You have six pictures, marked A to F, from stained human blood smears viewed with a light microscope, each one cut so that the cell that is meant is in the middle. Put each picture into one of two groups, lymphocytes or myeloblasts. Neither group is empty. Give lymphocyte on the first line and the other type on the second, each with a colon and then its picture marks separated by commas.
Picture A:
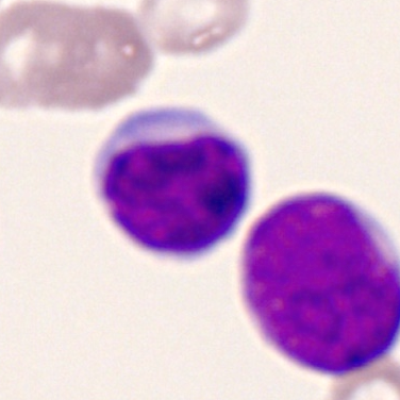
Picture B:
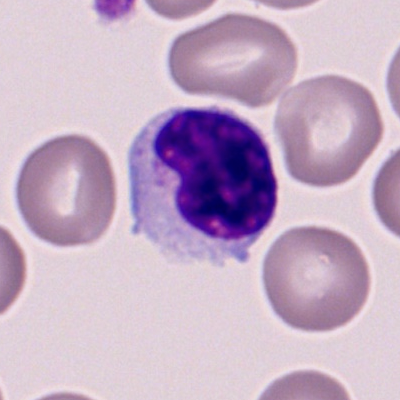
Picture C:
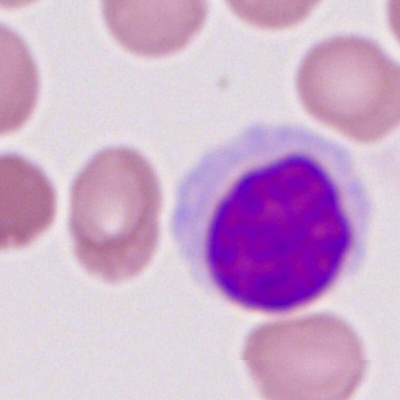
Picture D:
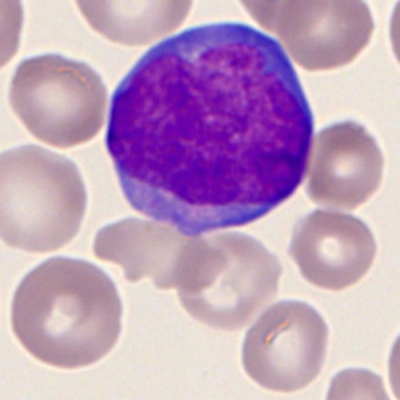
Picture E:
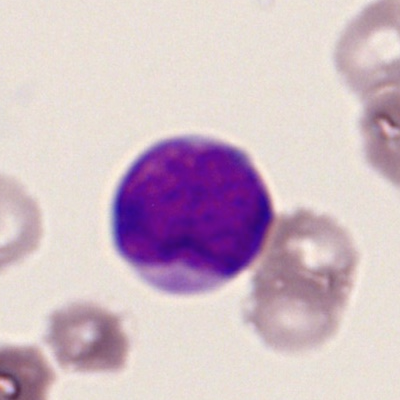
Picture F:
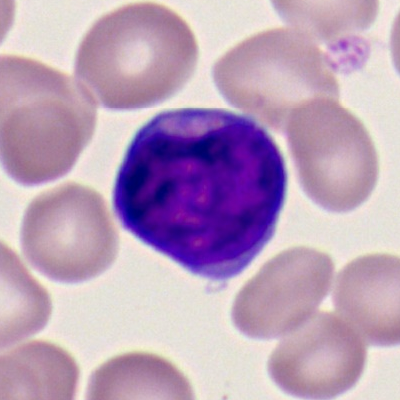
lymphocyte: A, B, C
myeloblast: D, E, F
